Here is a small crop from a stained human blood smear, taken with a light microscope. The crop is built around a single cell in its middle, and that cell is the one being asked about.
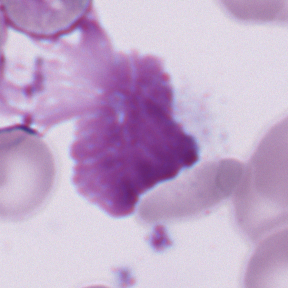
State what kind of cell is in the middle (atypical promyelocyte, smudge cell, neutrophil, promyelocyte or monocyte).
smudge cell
